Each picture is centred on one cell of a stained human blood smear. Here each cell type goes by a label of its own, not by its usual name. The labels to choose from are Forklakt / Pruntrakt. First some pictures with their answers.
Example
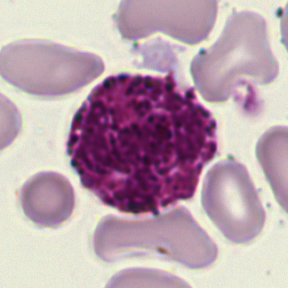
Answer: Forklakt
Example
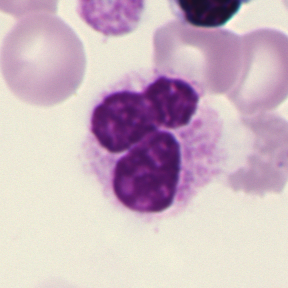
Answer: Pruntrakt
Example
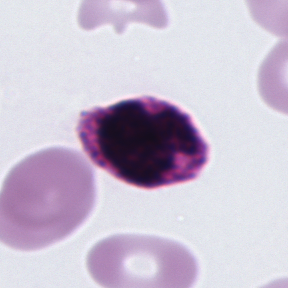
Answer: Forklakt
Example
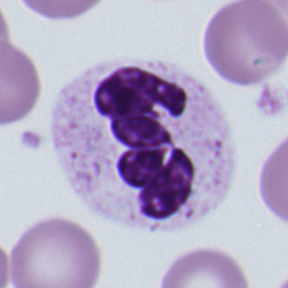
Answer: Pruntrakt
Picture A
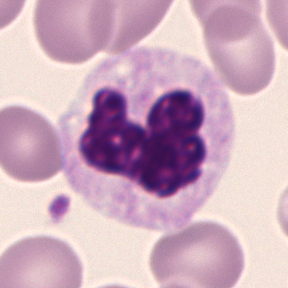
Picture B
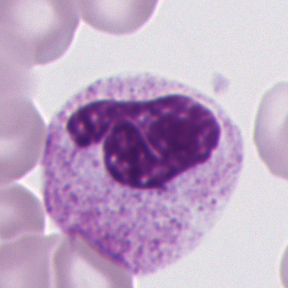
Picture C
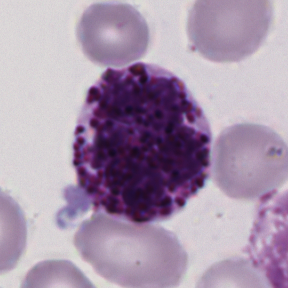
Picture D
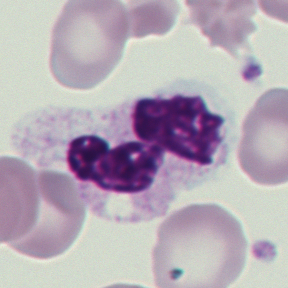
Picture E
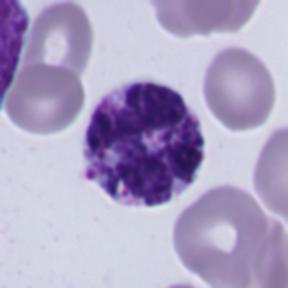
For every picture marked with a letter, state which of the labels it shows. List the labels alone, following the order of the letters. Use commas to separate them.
Pruntrakt, Pruntrakt, Forklakt, Pruntrakt, Forklakt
